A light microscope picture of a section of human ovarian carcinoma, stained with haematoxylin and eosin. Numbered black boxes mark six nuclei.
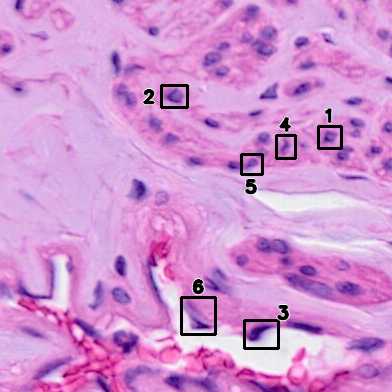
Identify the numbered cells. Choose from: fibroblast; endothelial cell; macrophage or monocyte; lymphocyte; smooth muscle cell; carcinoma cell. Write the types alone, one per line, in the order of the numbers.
smooth muscle cell
smooth muscle cell
endothelial cell
smooth muscle cell
smooth muscle cell
endothelial cell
